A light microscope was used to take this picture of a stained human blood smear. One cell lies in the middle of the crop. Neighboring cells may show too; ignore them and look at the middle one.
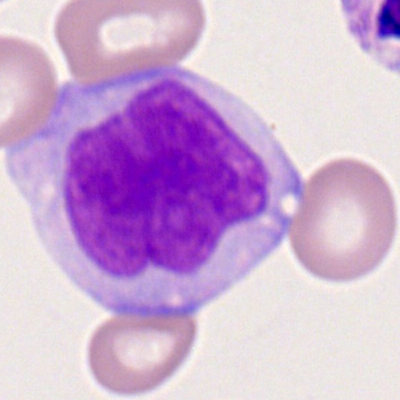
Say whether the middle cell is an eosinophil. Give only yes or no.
no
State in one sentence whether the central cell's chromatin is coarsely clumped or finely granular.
The chromatin is fine; coarse clumps are not a feature here.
